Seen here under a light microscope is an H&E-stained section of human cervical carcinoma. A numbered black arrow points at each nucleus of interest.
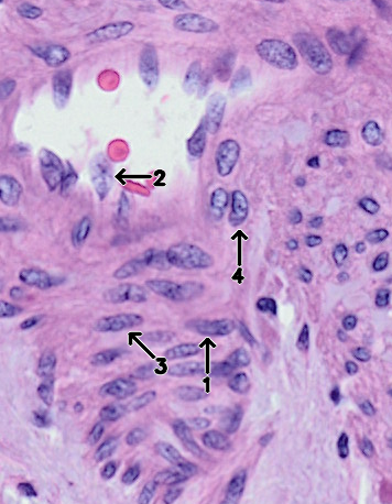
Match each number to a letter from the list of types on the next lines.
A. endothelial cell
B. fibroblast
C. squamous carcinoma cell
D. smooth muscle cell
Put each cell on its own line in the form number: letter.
1: D
2: A
3: D
4: D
